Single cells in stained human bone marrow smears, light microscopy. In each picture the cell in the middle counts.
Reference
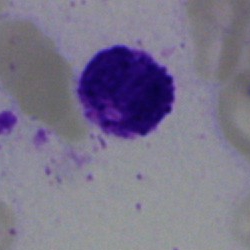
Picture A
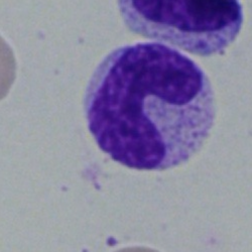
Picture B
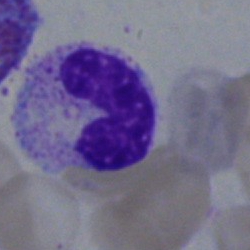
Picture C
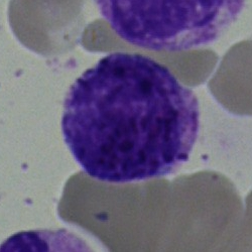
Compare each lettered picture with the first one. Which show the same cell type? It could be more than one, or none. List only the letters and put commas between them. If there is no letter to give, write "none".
C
